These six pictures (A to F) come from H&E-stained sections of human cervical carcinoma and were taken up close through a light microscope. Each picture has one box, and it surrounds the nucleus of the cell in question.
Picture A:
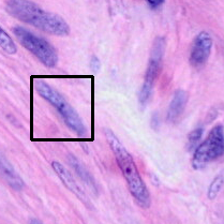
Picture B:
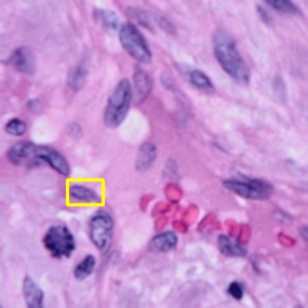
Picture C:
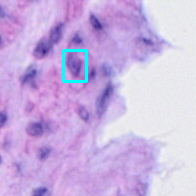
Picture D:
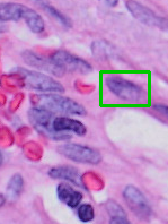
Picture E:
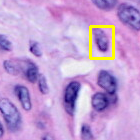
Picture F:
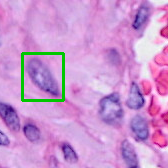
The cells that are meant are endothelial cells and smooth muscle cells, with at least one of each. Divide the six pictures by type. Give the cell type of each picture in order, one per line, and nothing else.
smooth muscle cell
endothelial cell
smooth muscle cell
endothelial cell
smooth muscle cell
smooth muscle cell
